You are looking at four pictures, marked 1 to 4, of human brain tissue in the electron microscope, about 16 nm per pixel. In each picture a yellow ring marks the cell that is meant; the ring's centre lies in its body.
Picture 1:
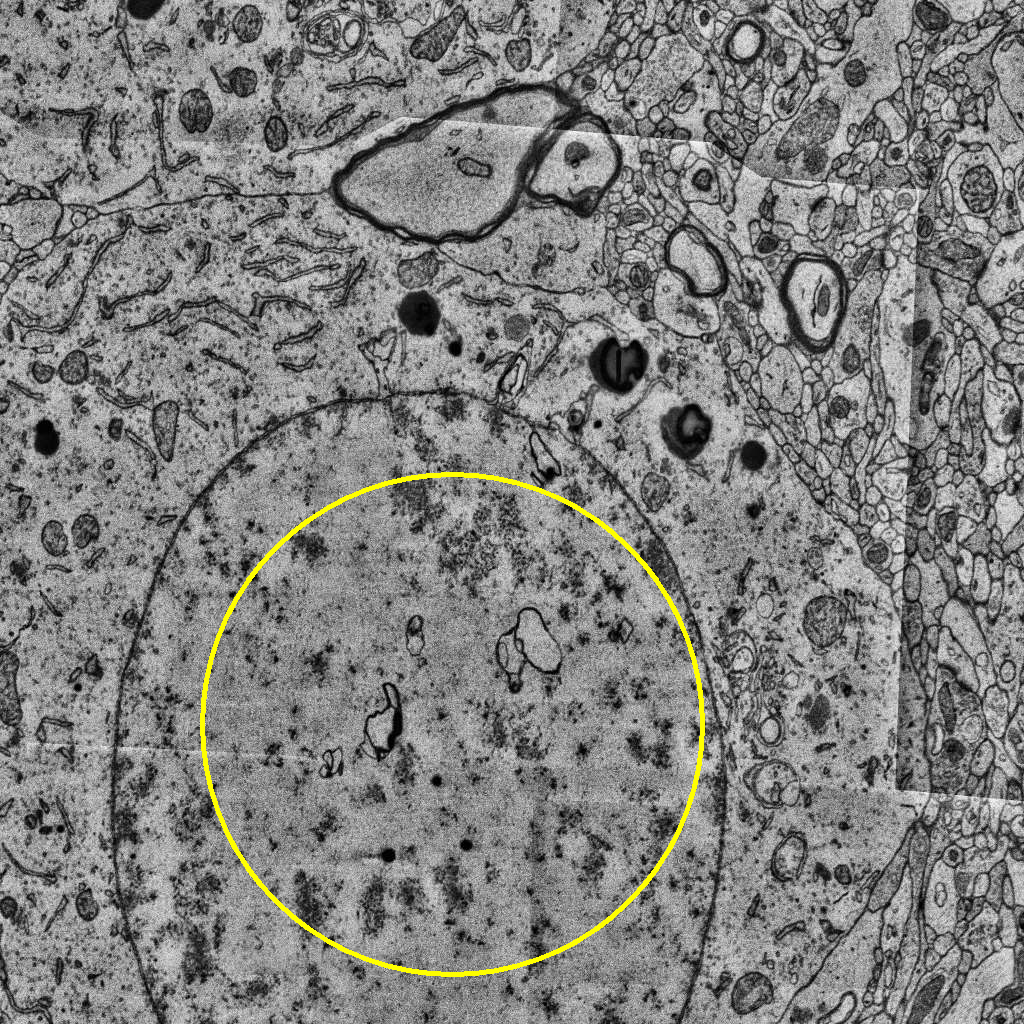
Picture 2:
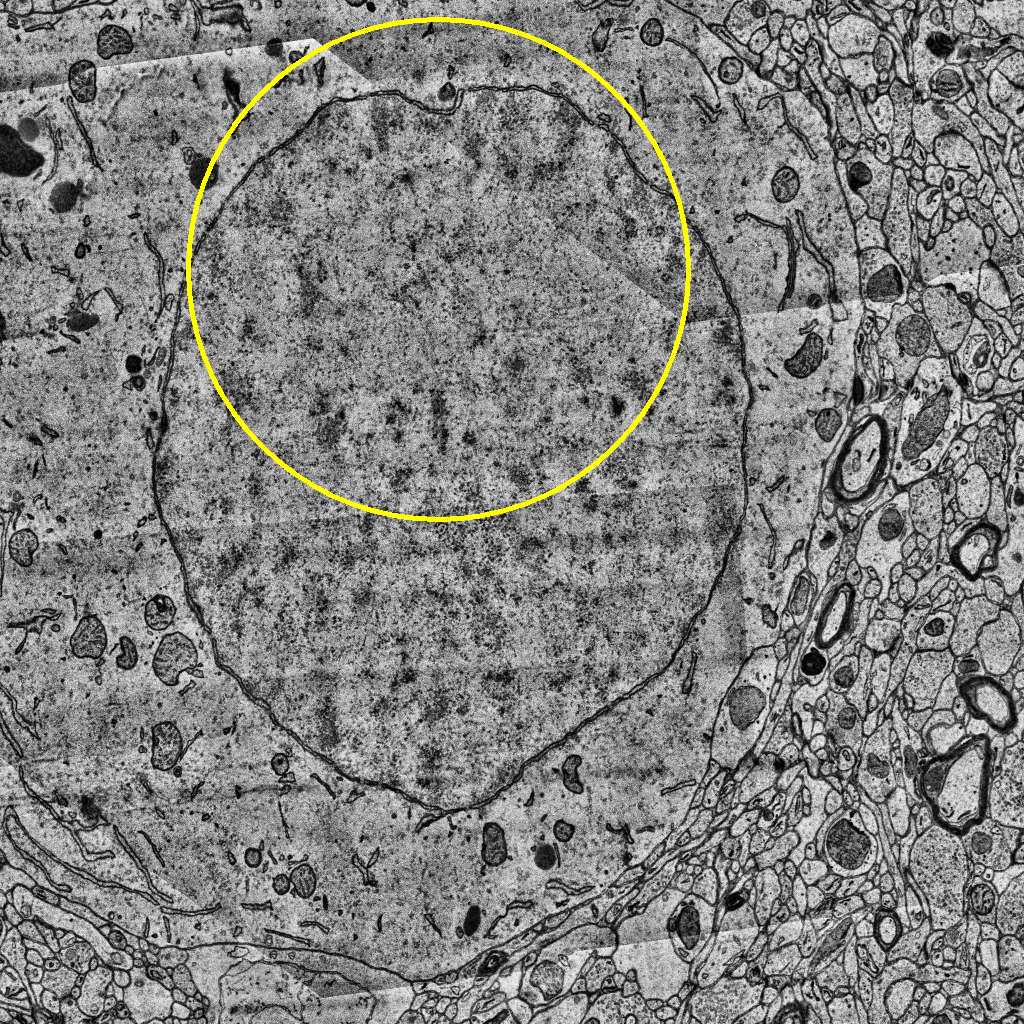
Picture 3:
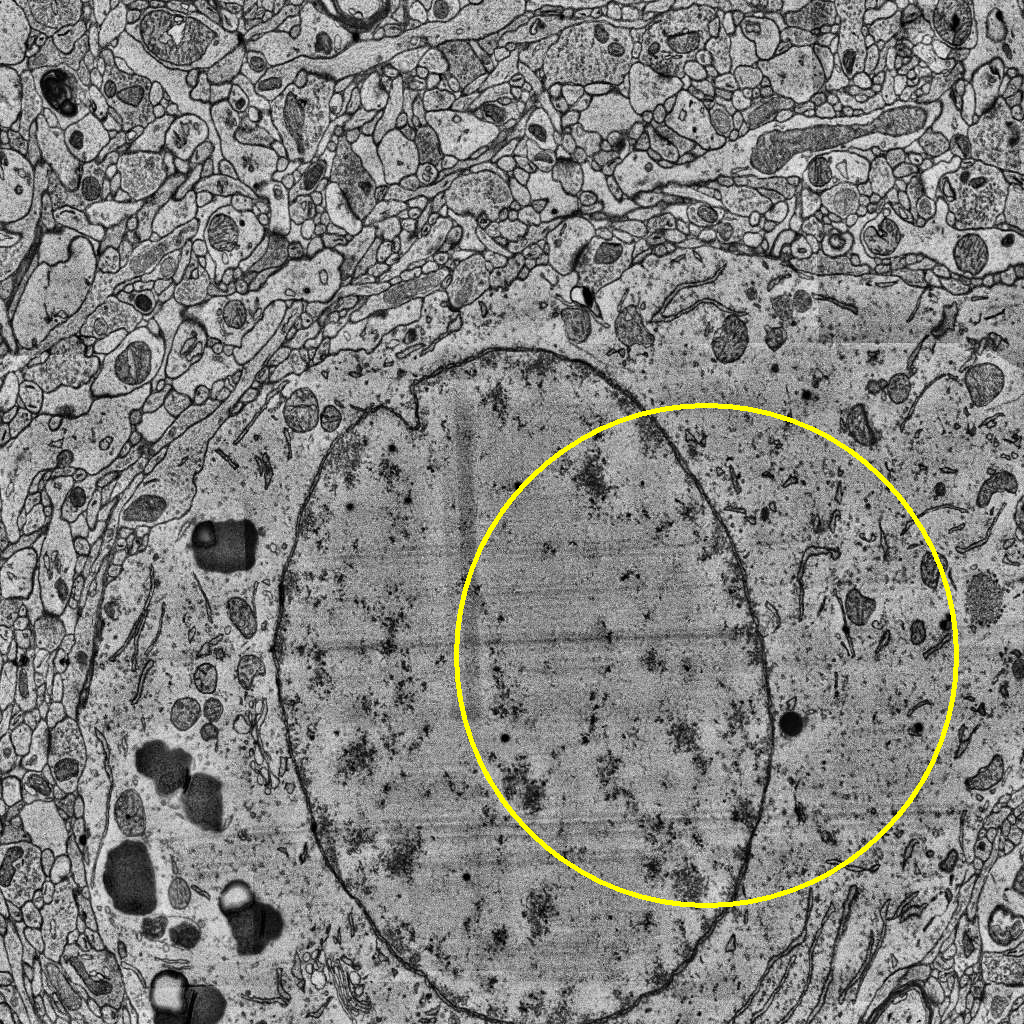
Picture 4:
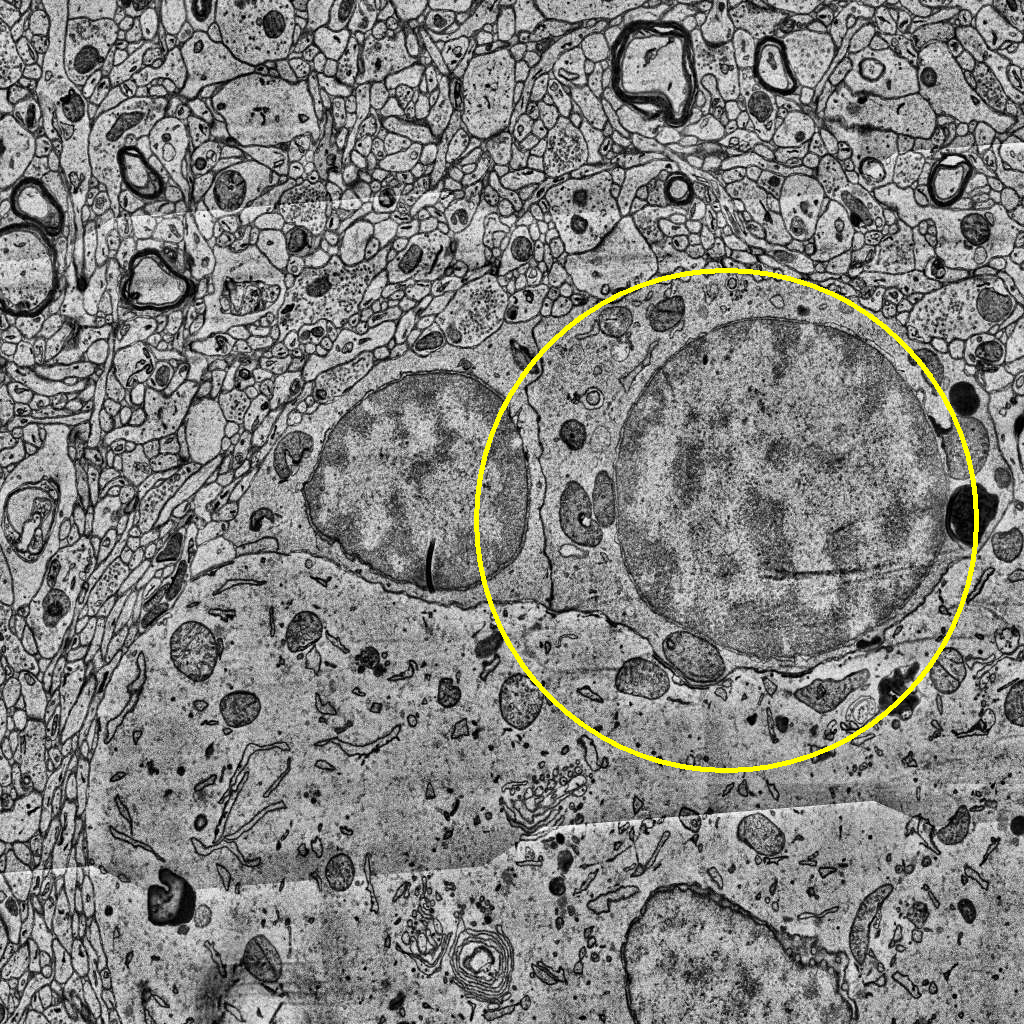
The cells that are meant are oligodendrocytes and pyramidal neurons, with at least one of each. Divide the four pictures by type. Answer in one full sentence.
Picture 4 shows an oligodendrocyte, and pictures 1, 2 and 3 show pyramidal neurons.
